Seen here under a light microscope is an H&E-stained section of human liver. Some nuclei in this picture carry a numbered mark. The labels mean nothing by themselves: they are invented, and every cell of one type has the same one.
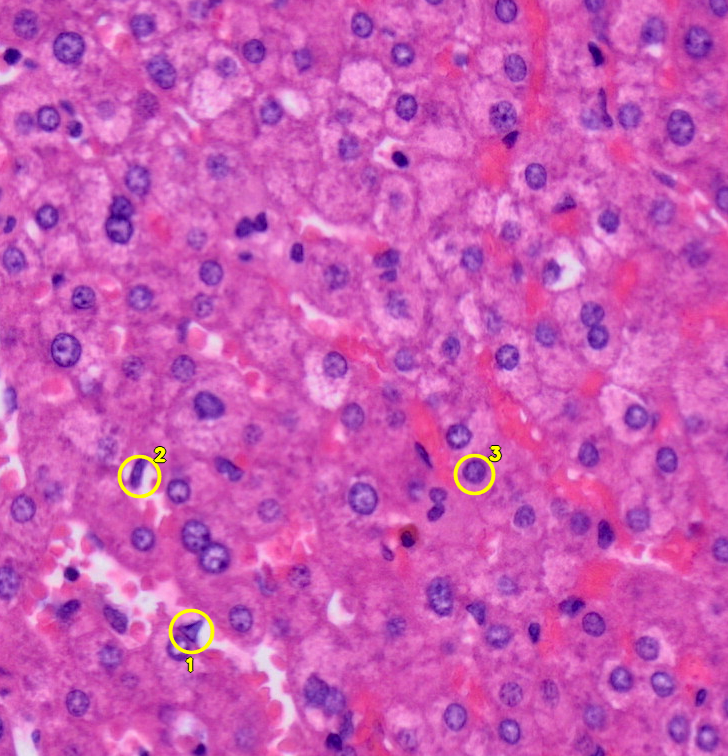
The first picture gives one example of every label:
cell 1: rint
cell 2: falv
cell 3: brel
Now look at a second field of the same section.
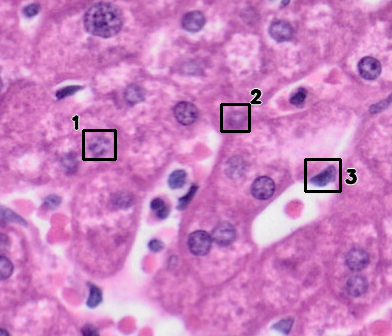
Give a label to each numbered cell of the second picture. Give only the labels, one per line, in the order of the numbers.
brel
brel
rint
